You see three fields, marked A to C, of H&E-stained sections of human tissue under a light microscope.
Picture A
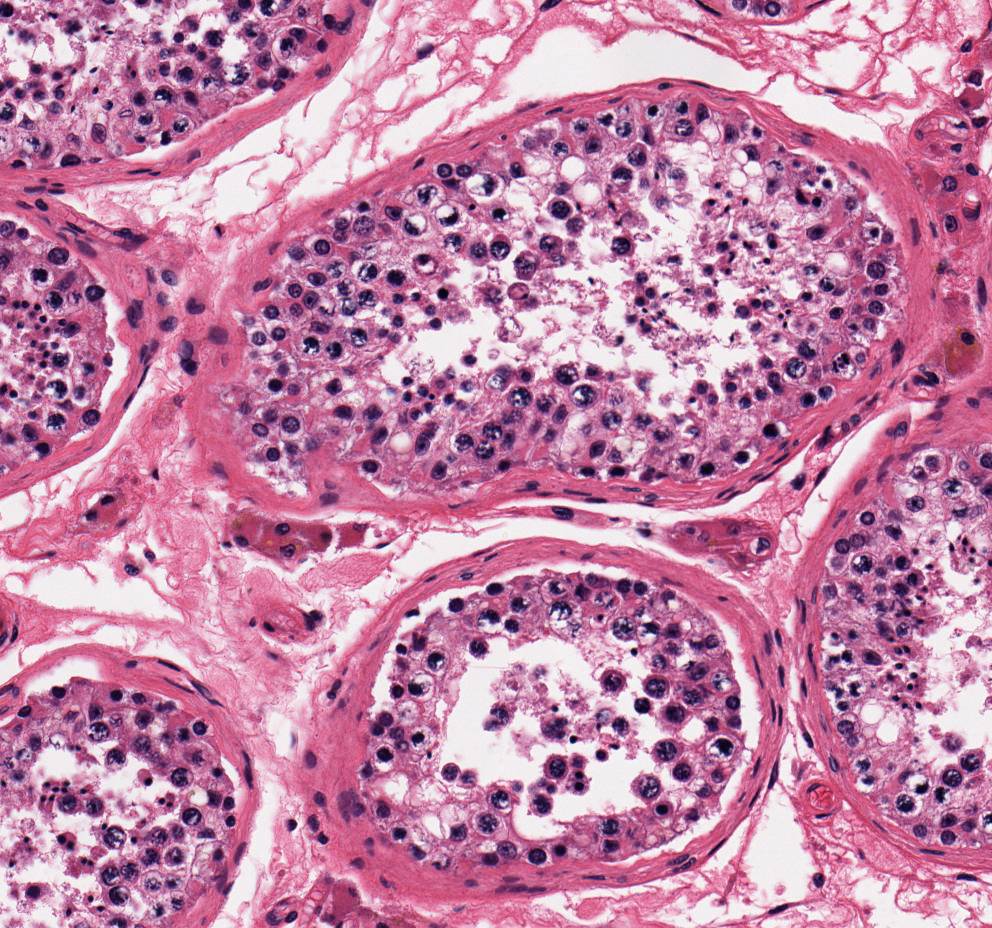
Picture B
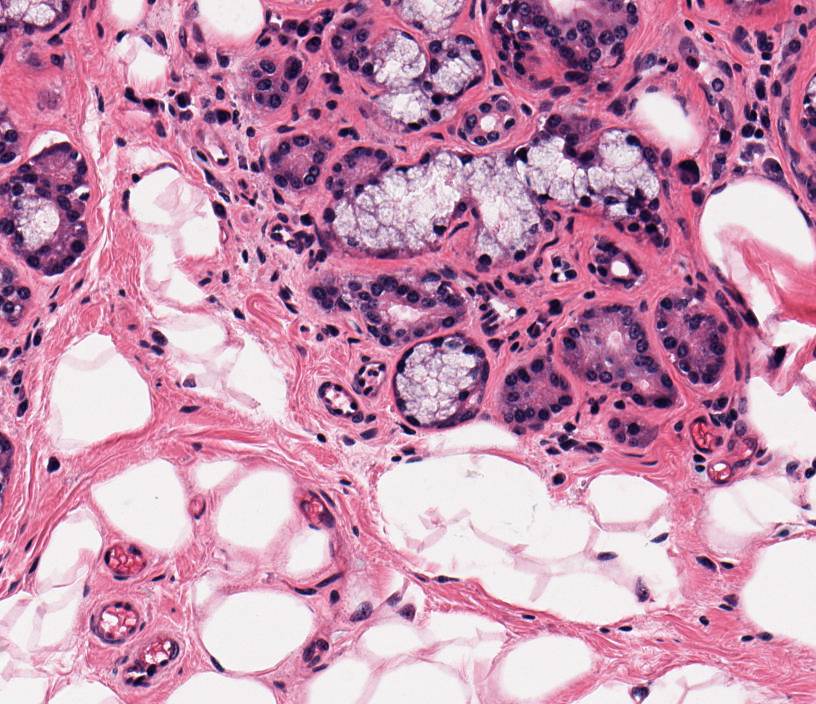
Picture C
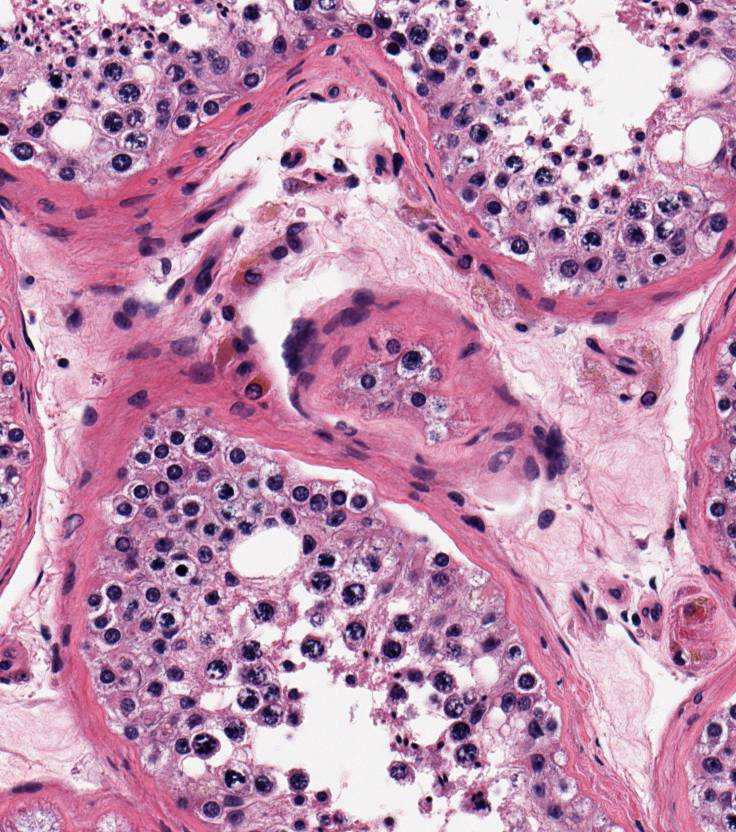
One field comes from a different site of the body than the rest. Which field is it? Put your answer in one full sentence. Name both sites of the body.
The others come from the testis, but picture B comes from a minor salivary gland.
